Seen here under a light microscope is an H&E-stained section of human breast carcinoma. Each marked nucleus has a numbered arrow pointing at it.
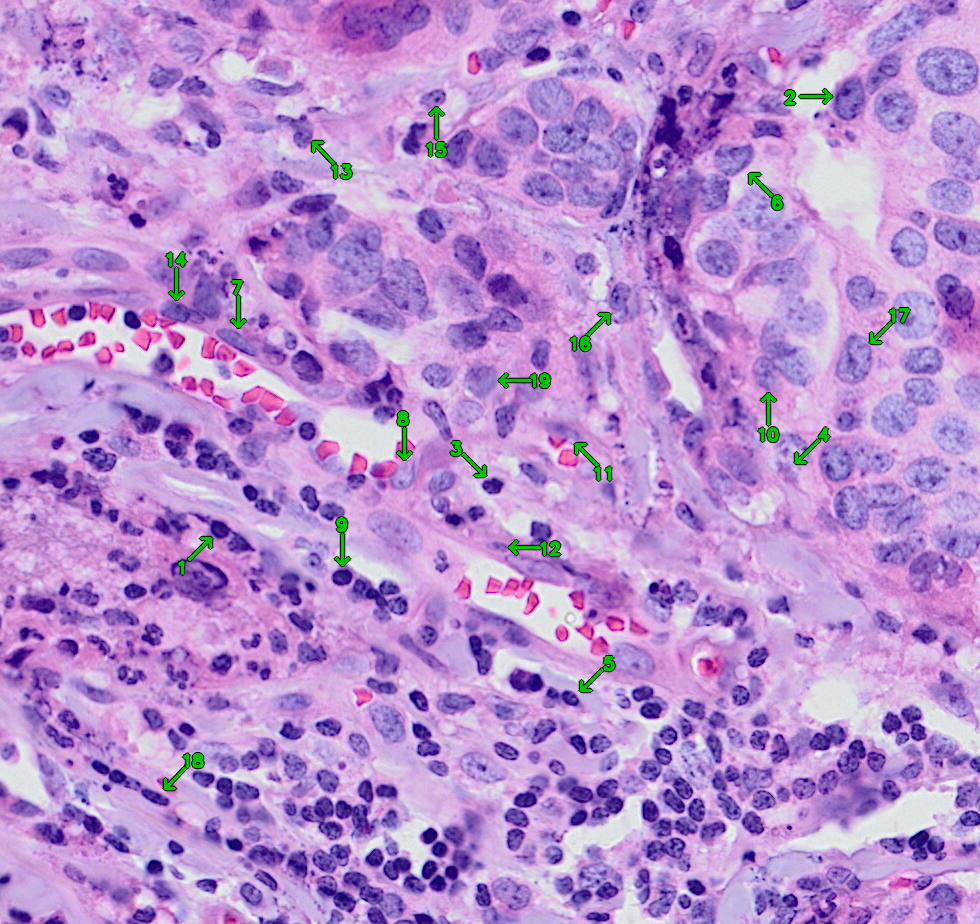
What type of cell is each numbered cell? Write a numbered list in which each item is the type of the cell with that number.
1. lymphocyte
2. carcinoma cell
3. lymphocyte
4. carcinoma cell
5. lymphocyte
6. carcinoma cell
7. endothelial cell
8. endothelial cell
9. lymphocyte
10. carcinoma cell
11. endothelial cell
12. endothelial cell
13. mast cell
14. endothelial cell
15. mast cell
16. macrophage, monocyte or dendritic cell
17. carcinoma cell
18. lymphocyte
19. carcinoma cell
